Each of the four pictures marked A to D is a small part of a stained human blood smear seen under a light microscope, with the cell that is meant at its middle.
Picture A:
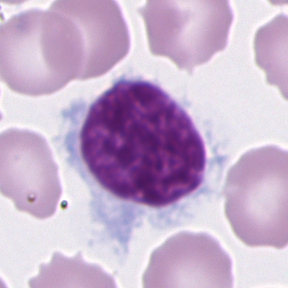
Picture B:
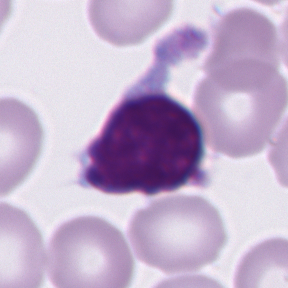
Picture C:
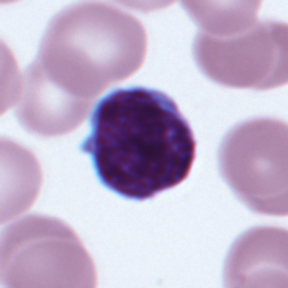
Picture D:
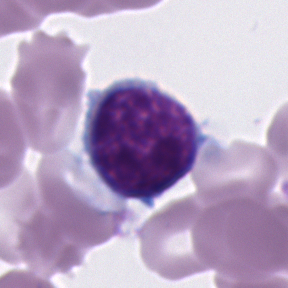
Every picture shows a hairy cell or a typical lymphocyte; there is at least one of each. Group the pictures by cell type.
A: hairy cell
B: typical lymphocyte
C: typical lymphocyte
D: typical lymphocyte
